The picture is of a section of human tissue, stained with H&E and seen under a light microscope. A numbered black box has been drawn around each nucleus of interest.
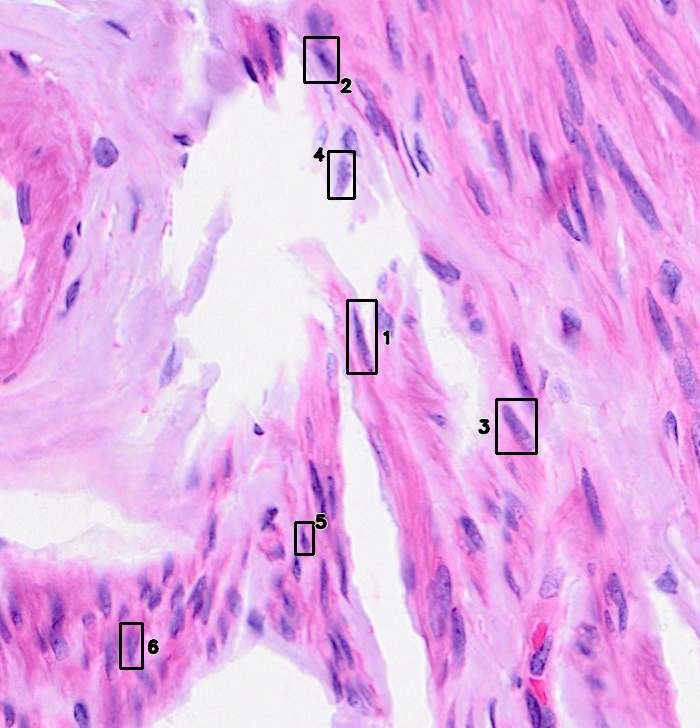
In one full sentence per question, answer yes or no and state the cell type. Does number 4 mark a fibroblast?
Yes, number 4 is assigned to a cell that is a fibroblast.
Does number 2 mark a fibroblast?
Yes, the numbered cell 2 is a fibroblast.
